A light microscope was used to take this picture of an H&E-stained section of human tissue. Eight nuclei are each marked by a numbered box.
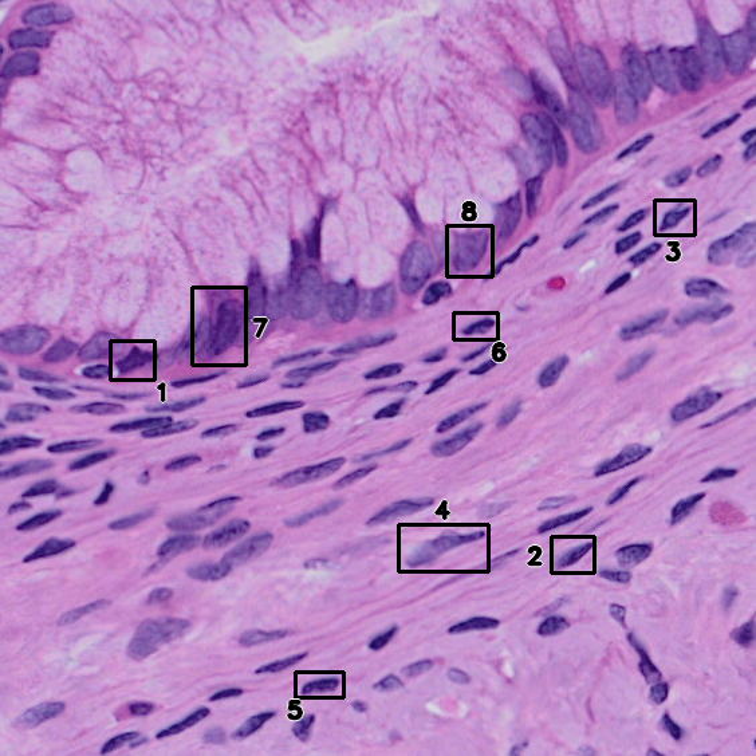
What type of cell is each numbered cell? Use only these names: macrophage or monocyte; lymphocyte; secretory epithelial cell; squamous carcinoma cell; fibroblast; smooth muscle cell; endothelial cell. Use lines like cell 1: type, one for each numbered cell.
cell 1: secretory epithelial cell
cell 2: fibroblast
cell 3: fibroblast
cell 4: fibroblast
cell 5: fibroblast
cell 6: fibroblast
cell 7: secretory epithelial cell
cell 8: secretory epithelial cell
